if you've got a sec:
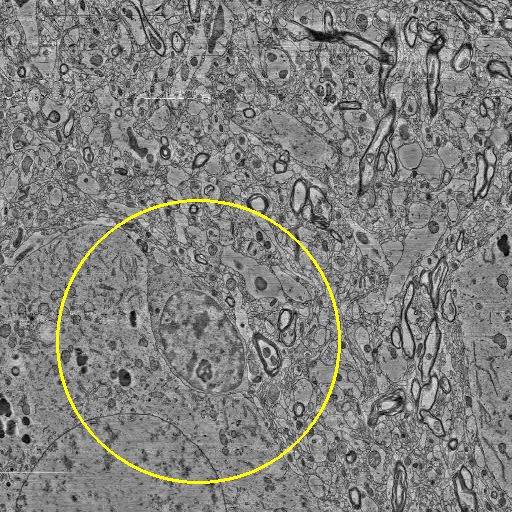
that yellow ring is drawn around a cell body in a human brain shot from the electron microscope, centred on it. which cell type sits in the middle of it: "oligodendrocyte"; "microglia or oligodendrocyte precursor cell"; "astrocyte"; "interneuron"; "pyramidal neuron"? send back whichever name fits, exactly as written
oligodendrocyte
